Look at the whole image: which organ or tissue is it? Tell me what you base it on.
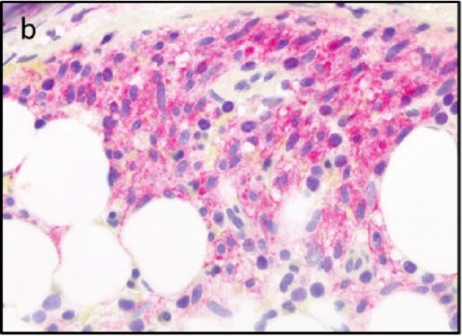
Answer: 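Bone marrow. Large round empty fat spaces between cellular areas. Densely cellular tissue packed between the fat spaces.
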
